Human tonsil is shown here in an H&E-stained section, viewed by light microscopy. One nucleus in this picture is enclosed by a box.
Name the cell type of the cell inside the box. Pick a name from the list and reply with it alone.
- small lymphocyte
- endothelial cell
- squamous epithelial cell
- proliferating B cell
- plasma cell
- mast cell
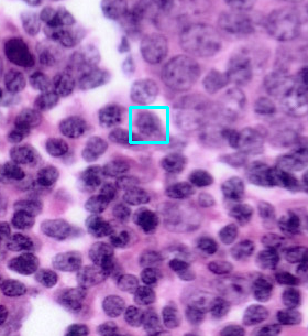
proliferating B cell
